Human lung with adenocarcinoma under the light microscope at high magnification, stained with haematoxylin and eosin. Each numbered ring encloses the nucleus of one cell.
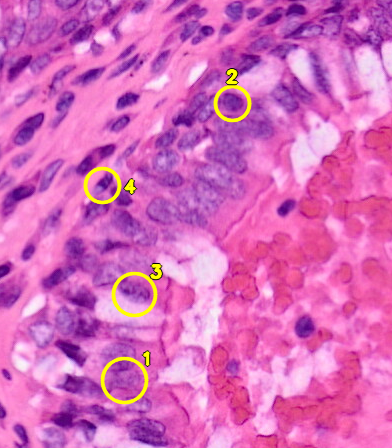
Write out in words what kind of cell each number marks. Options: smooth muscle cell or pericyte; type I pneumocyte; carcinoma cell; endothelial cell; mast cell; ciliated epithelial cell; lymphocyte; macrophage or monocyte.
Cells 1, 2 and 3 are ciliated epithelial cells. Cell 4 is a lymphocyte.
